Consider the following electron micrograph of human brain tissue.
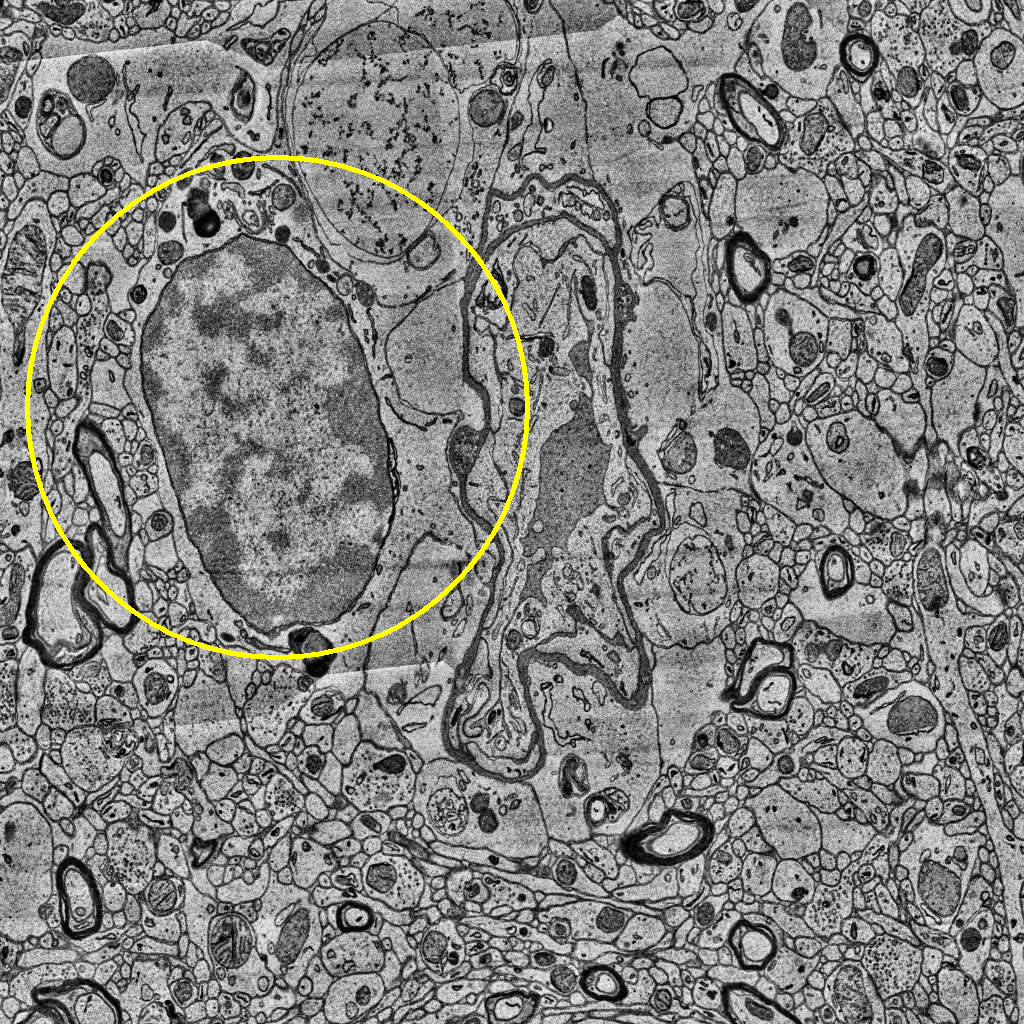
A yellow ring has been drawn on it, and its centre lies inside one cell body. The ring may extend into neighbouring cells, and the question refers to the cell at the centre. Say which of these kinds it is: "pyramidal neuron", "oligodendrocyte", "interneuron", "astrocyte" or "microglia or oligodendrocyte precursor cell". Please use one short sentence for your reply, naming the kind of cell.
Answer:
The centre of the ring falls on a microglial cell or oligodendrocyte precursor cell.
